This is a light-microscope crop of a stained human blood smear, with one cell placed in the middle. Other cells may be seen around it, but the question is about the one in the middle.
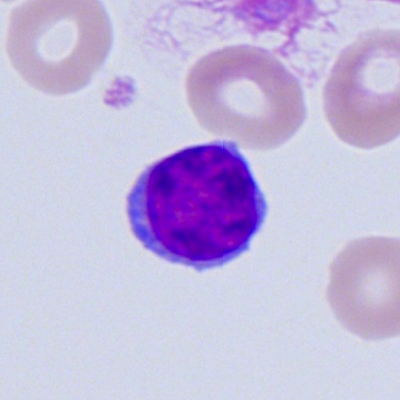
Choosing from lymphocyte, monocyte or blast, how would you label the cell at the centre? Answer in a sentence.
This particular crop is centered on a lymphocyte.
